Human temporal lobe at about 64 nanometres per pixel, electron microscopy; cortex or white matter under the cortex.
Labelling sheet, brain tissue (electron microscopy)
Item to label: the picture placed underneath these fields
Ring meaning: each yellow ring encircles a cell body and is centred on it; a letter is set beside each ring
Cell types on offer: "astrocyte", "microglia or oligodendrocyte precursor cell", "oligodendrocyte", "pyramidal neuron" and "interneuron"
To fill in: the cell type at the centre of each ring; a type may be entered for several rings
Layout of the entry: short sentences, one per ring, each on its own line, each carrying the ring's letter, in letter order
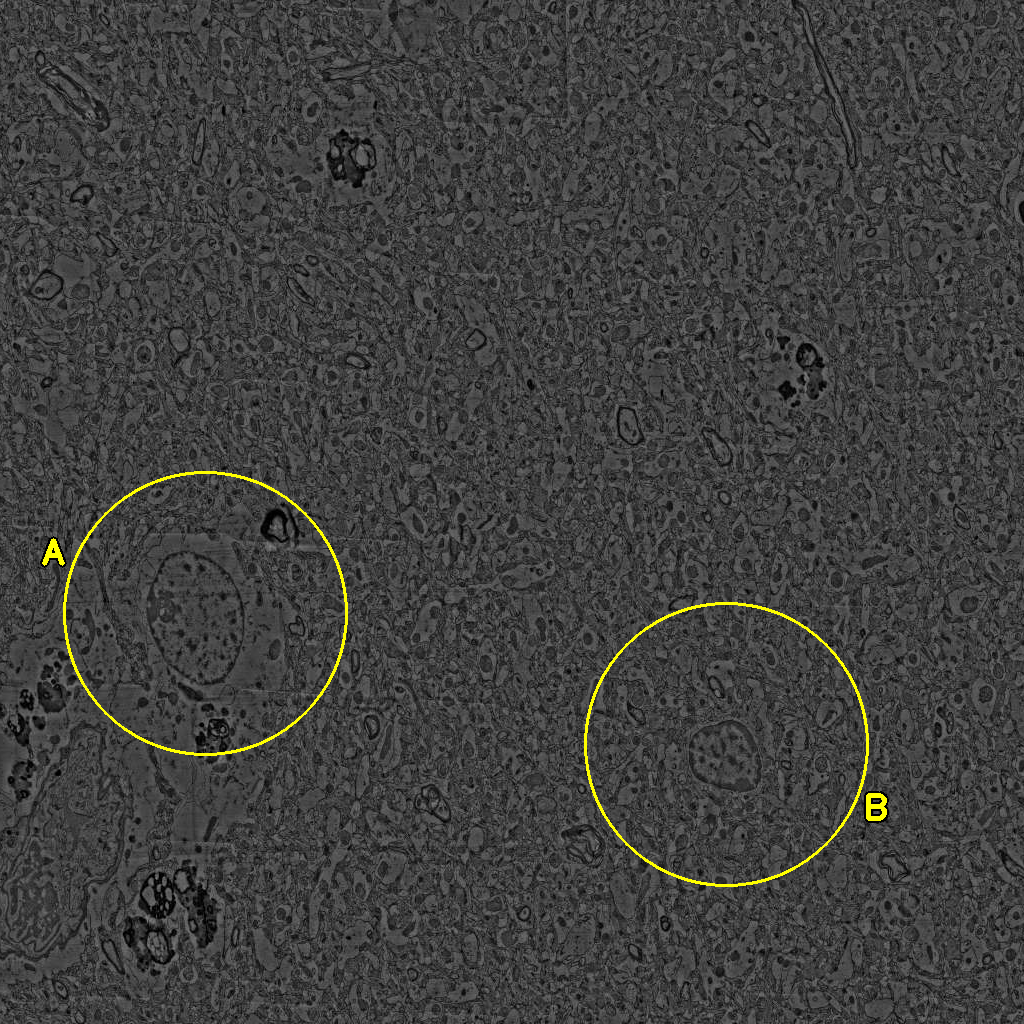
Ring A encircles the body of an astrocyte.
Ring B encircles the body of a microglial cell or oligodendrocyte precursor cell.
